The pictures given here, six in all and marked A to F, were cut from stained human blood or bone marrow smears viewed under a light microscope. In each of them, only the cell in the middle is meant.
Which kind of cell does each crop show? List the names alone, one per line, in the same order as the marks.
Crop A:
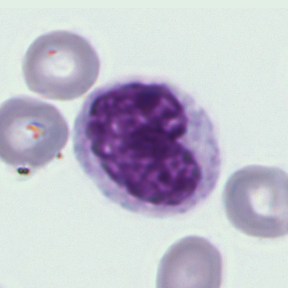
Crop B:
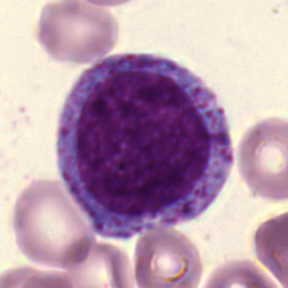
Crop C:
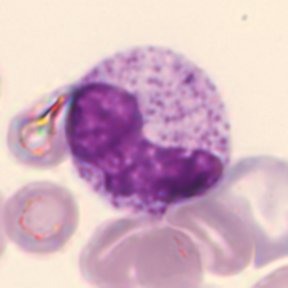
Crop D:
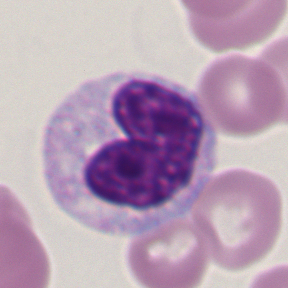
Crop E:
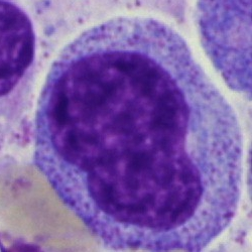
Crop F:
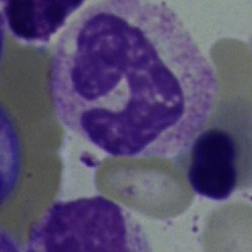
band neutrophil
promyelocyte
band neutrophil
band neutrophil
promyelocyte
band neutrophil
